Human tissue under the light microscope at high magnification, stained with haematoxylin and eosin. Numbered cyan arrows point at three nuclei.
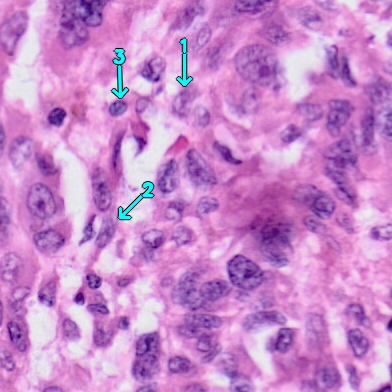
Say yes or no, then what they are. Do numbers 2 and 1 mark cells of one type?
Yes, both of the numbered cells concerned, 2 and 1, are melanoma cells.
